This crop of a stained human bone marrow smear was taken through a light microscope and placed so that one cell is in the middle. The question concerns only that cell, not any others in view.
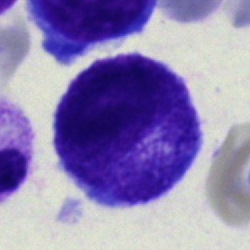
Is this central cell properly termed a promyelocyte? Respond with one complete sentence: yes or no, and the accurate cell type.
Yes, the cell right in the middle is a promyelocyte.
